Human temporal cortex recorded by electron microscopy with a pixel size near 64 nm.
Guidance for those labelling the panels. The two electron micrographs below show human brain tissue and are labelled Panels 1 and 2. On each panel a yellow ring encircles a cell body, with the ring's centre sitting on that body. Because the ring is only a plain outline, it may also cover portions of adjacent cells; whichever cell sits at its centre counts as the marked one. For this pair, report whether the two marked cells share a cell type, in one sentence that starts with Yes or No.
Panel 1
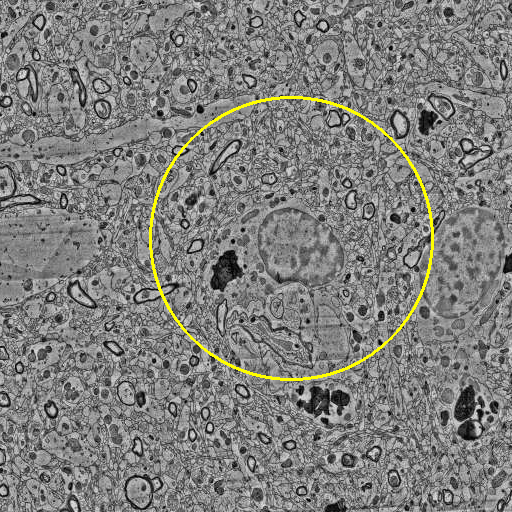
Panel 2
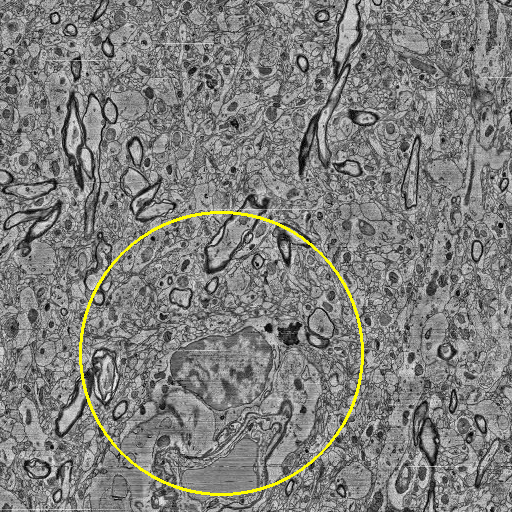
No, in Panel 1 and Panel 2 the marked cells at the ring centres are of two types.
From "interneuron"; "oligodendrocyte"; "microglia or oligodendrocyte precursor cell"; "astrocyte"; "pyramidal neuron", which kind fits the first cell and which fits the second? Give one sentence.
The cell marked in the first picture is an oligodendrocyte, and the one marked in the second is a microglial cell or oligodendrocyte precursor cell.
